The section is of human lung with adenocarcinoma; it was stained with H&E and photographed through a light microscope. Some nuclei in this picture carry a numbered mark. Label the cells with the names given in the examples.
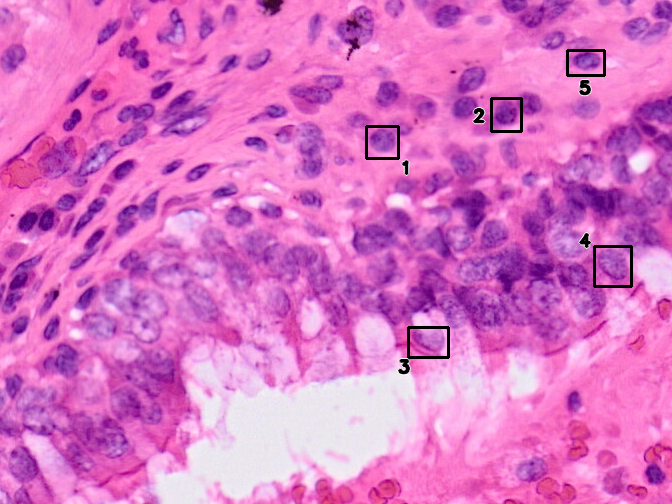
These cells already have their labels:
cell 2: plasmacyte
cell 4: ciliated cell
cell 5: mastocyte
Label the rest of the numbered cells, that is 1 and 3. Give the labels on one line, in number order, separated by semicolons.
plasmacyte; ciliated cell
